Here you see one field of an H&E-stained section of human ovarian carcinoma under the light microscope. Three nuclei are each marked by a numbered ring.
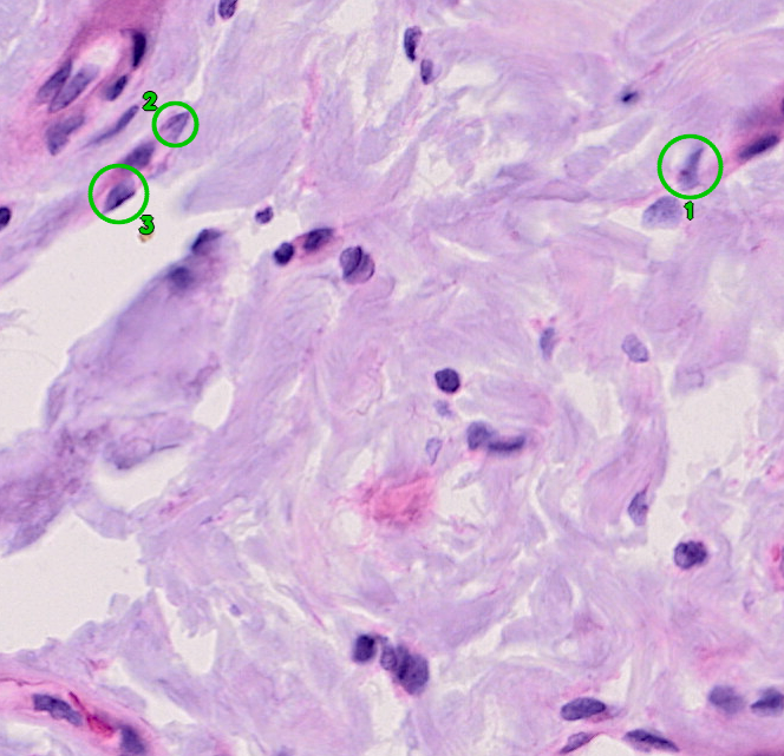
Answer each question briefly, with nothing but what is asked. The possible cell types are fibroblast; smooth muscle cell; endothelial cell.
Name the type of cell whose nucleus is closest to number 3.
endothelial cell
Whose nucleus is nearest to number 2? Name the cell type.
endothelial cell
